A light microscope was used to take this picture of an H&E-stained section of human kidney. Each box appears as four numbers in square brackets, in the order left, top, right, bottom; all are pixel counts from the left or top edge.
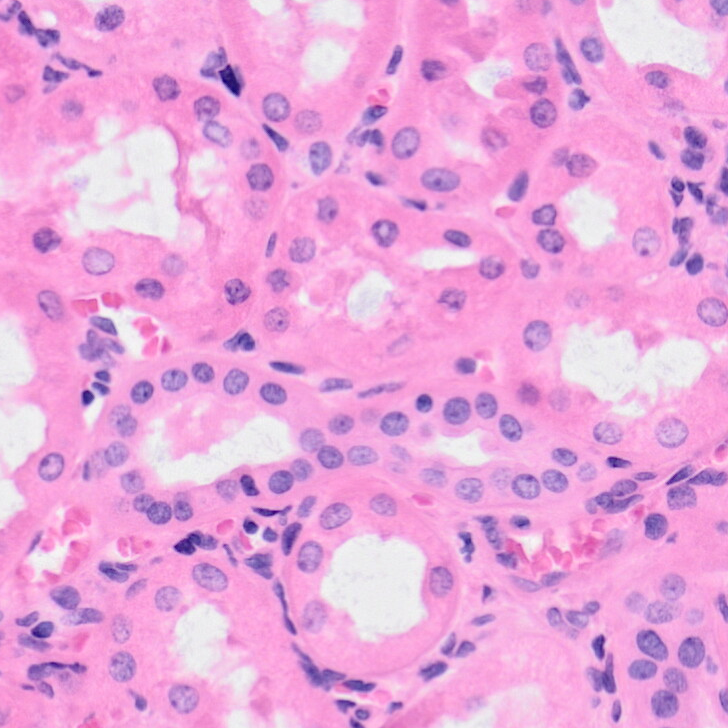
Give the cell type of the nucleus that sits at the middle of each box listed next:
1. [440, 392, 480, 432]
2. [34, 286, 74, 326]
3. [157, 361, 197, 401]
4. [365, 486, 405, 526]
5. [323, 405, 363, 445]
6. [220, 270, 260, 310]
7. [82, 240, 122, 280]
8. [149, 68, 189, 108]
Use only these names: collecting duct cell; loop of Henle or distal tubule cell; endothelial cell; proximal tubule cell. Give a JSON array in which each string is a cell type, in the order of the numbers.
["collecting duct cell", "proximal tubule cell", "collecting duct cell", "proximal tubule cell", "collecting duct cell", "proximal tubule cell", "proximal tubule cell", "proximal tubule cell"]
